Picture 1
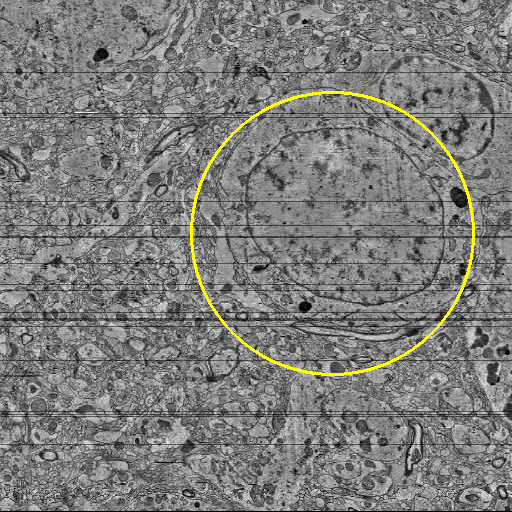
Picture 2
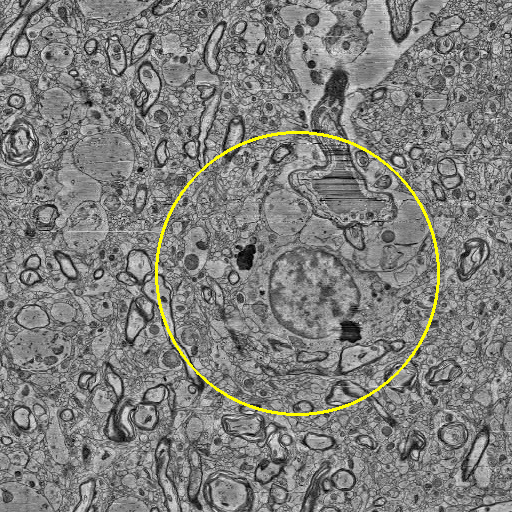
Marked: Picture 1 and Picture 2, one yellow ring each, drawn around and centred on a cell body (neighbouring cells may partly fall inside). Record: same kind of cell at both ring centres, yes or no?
no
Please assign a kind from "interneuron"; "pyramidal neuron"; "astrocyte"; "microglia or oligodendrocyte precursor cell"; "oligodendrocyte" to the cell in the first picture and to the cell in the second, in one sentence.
In the first picture we have a pyramidal neuron, and in the second, an oligodendrocyte.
